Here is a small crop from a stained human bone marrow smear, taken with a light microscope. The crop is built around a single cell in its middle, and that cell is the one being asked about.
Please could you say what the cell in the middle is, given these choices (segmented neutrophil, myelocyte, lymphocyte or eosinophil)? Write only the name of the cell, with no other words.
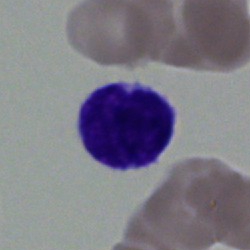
lymphocyte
